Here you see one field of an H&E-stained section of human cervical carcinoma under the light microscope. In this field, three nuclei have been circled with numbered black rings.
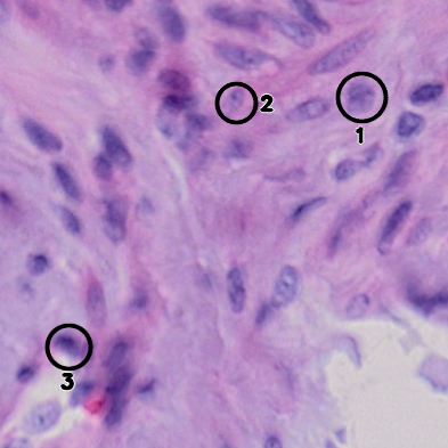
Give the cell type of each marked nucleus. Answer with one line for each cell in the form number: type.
1: fibroblast
2: smooth muscle cell
3: endothelial cell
